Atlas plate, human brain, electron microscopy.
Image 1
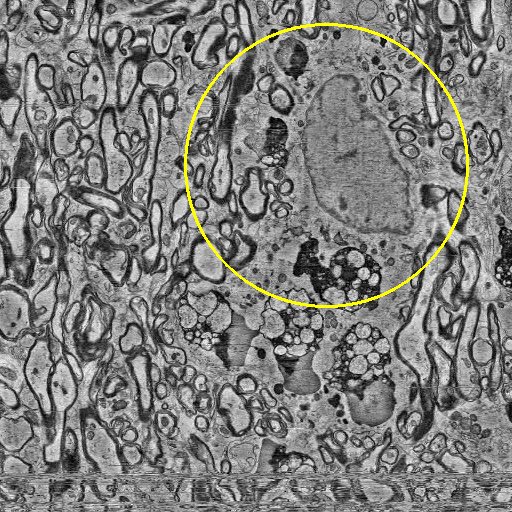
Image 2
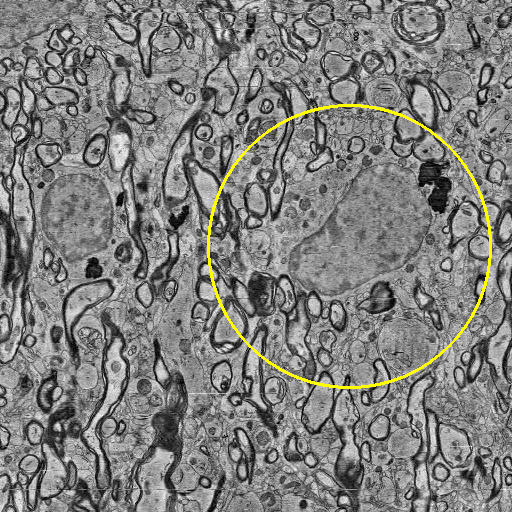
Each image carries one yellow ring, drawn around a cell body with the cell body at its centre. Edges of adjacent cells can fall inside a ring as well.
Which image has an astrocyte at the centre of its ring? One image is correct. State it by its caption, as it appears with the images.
Image 1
